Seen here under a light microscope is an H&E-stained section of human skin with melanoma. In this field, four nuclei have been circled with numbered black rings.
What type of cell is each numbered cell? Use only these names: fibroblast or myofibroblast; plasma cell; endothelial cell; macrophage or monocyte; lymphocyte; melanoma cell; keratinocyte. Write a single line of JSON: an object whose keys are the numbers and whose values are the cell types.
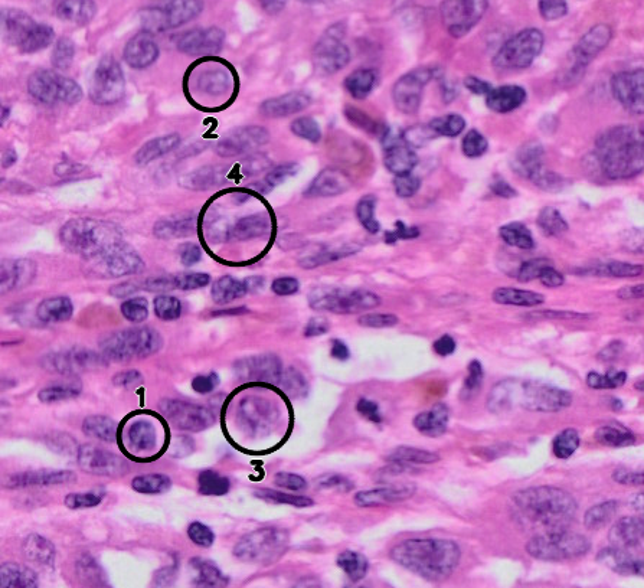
{"1": "lymphocyte", "2": "melanoma cell", "3": "melanoma cell", "4": "melanoma cell"}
